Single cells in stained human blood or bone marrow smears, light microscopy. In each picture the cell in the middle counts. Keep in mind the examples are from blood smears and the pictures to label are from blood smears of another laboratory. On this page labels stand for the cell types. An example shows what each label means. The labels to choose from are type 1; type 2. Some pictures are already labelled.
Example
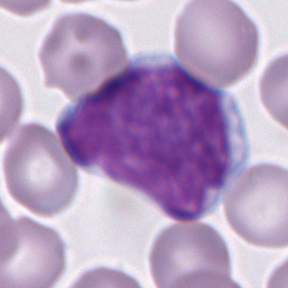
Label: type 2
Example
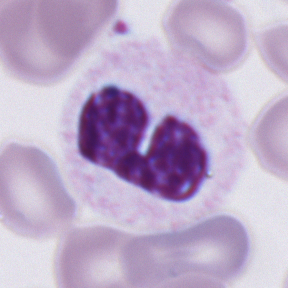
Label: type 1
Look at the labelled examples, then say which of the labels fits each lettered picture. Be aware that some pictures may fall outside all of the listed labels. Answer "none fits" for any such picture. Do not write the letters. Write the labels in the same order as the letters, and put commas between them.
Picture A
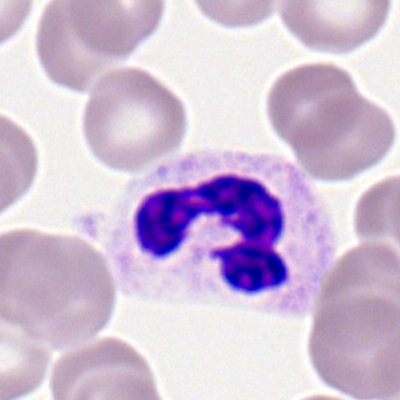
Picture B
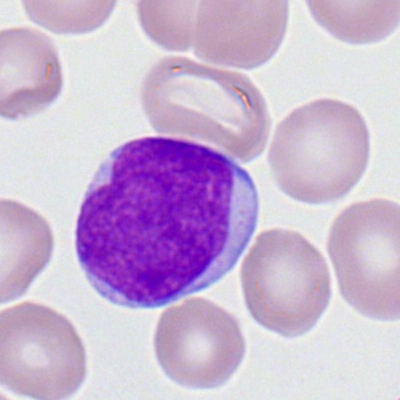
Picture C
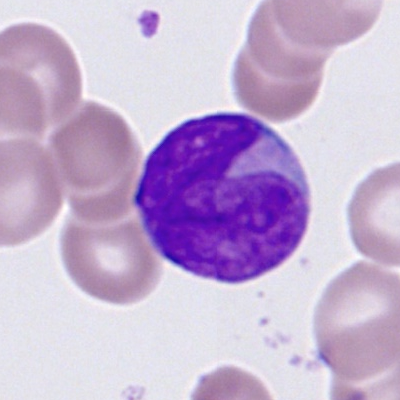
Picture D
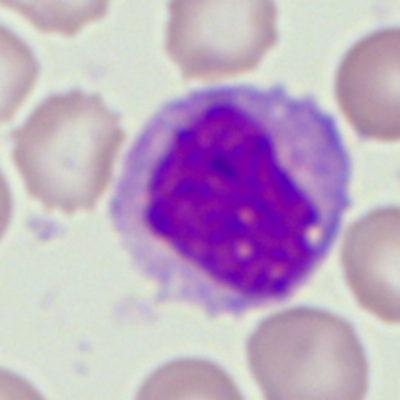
type 1, type 2, type 2, none fits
